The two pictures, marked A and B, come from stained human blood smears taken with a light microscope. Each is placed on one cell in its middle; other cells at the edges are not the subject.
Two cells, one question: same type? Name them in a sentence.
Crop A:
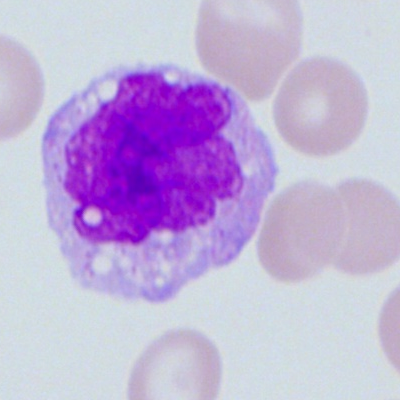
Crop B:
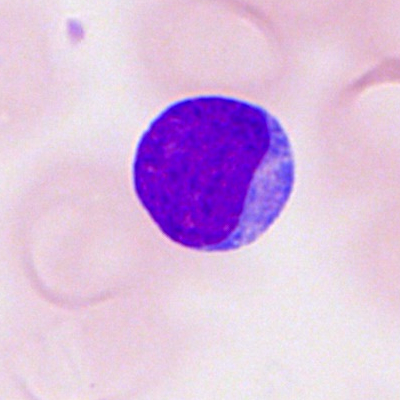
No, it is a monocyte that crop A shows, and a myeloblast that crop B shows.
